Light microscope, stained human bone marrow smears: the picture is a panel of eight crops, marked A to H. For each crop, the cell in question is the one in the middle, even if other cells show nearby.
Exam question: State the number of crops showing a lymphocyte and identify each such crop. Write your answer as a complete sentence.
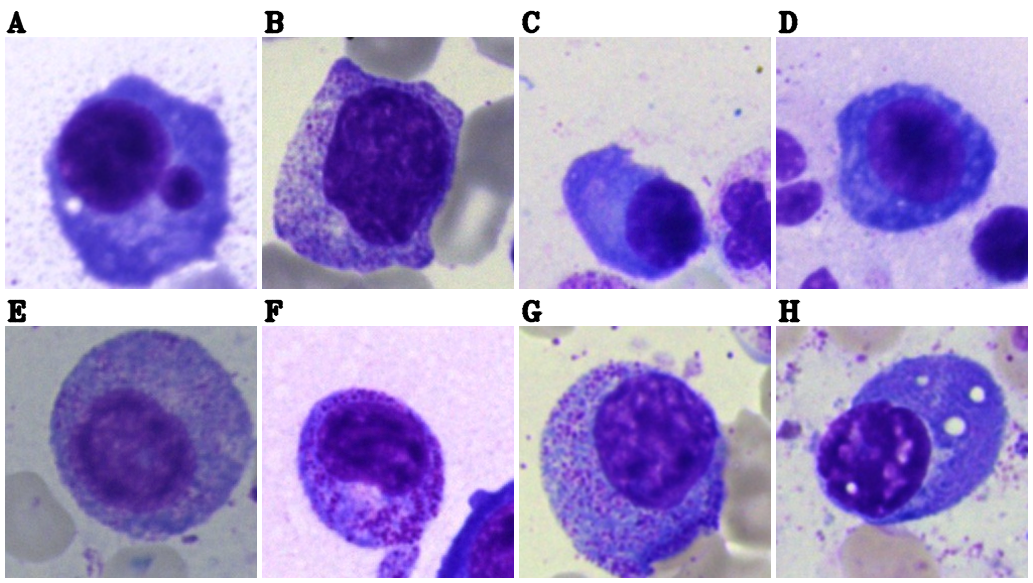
Zero is the count, since lymphocytes occur in none of the crops.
